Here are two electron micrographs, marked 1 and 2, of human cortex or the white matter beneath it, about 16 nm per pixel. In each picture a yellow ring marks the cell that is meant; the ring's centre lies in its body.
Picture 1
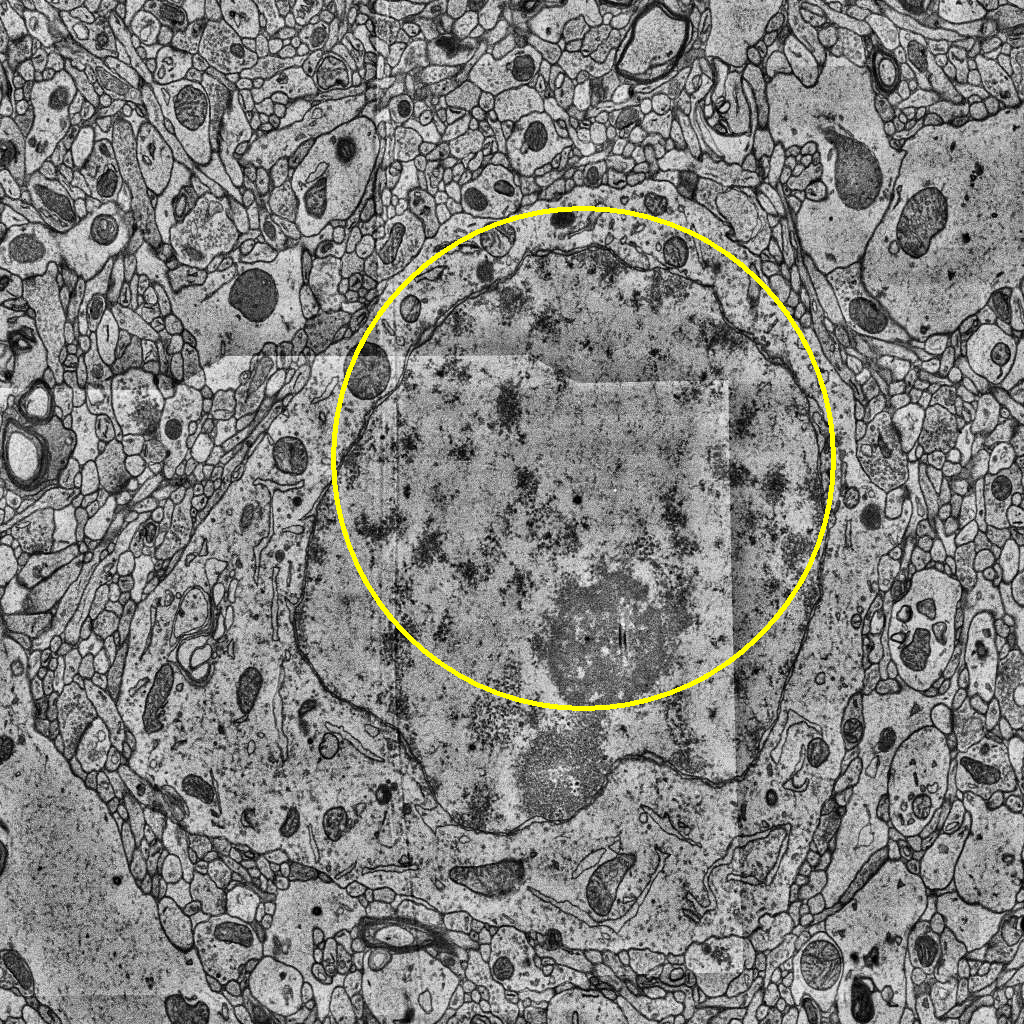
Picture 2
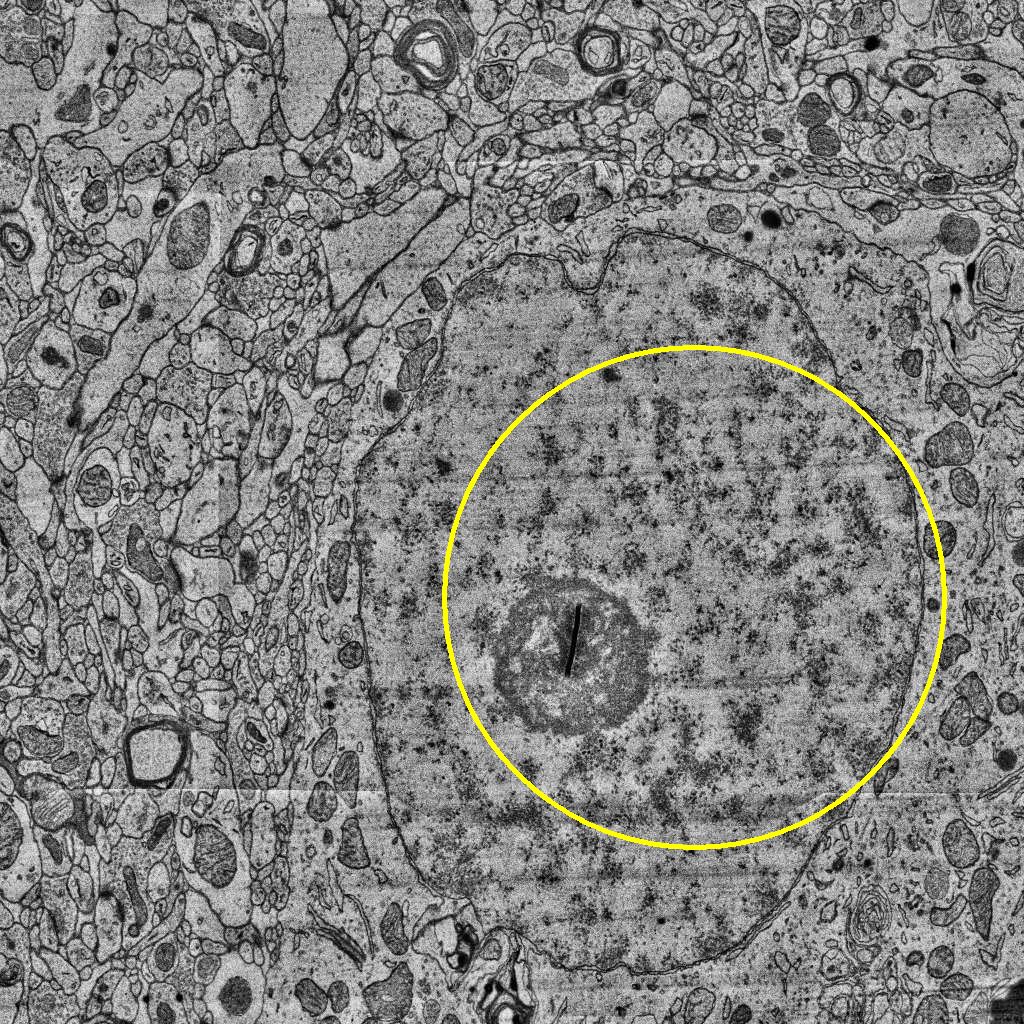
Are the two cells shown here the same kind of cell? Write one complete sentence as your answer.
Yes, they are the same type: both are interneurons.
